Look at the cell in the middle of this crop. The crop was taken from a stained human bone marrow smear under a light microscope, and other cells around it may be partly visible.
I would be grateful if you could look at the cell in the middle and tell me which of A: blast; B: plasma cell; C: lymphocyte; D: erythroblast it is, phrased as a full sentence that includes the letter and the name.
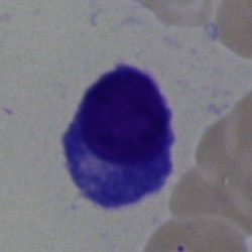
The central cell, a plasma cell, is correctly identified by option B.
